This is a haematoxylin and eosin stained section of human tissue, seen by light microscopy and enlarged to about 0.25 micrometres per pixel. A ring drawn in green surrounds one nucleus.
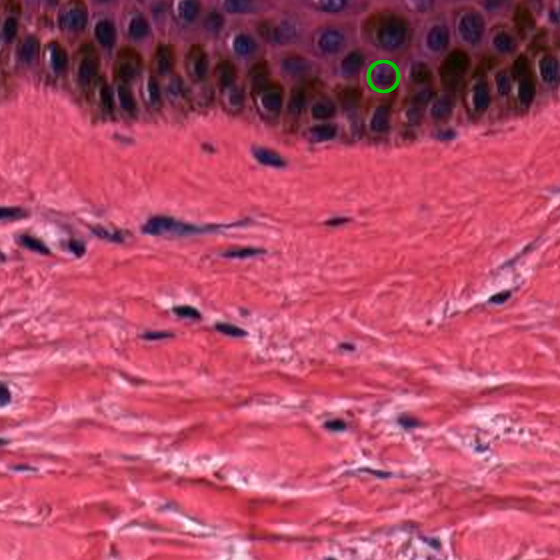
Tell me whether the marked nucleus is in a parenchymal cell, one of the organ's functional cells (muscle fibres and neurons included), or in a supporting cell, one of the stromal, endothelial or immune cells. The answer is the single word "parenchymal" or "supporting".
parenchymal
